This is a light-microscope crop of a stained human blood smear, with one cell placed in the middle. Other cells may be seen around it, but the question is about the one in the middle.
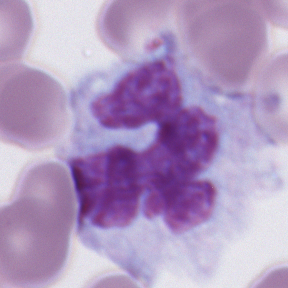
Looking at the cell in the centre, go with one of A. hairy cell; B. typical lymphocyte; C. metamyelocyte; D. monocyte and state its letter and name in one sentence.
This one is option D, since the cell at the center is a monocyte.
